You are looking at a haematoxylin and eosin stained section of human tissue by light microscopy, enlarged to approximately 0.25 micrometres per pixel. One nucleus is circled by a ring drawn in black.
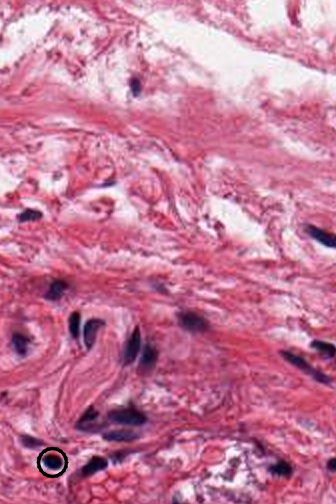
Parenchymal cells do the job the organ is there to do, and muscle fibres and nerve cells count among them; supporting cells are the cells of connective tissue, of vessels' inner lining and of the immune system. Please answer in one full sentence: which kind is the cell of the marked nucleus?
The marked nucleus is assigned to a supporting cell.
